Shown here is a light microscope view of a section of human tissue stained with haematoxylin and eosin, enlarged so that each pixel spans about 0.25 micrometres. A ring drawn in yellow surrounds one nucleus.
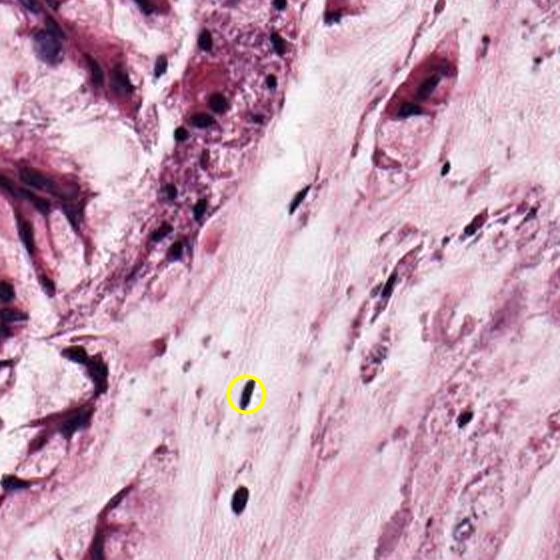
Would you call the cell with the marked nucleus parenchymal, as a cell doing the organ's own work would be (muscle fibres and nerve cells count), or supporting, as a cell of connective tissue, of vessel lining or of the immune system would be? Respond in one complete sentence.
Among the cells in view, a supporting cell holds the marked nucleus.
